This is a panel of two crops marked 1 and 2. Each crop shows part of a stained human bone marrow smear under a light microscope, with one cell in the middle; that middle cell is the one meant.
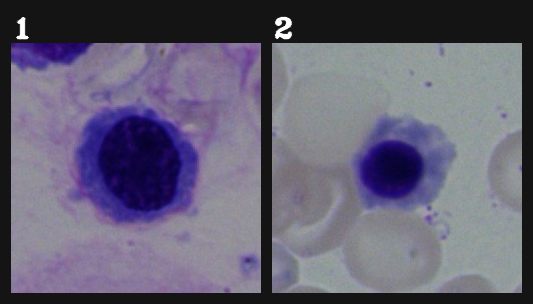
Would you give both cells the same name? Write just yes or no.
yes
